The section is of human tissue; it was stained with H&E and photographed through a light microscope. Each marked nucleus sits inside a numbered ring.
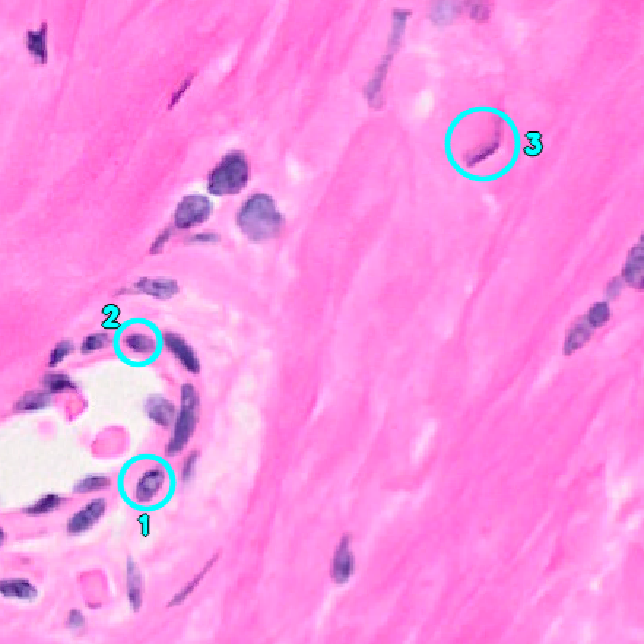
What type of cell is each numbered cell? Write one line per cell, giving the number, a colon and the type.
1: endothelial cell
2: endothelial cell
3: fibroblast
